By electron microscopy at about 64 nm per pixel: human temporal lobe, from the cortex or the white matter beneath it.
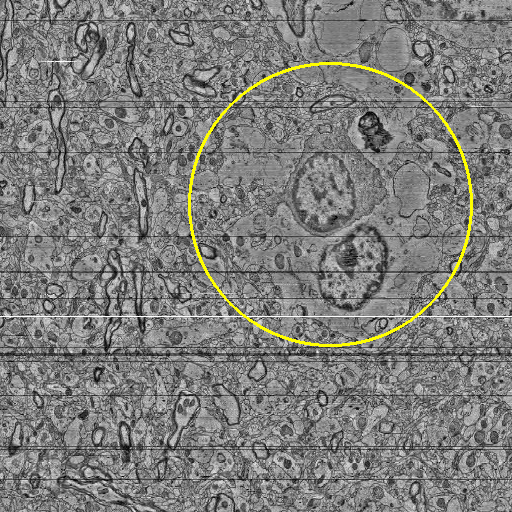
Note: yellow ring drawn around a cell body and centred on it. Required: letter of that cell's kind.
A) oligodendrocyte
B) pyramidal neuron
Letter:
A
